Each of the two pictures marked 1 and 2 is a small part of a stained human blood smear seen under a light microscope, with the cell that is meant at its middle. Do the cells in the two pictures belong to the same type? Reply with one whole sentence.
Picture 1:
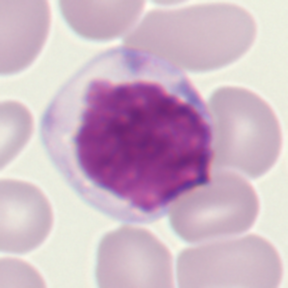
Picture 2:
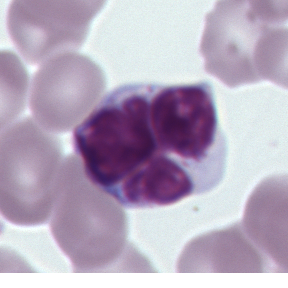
Yes, the two pictures both show large granular lymphocytes.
